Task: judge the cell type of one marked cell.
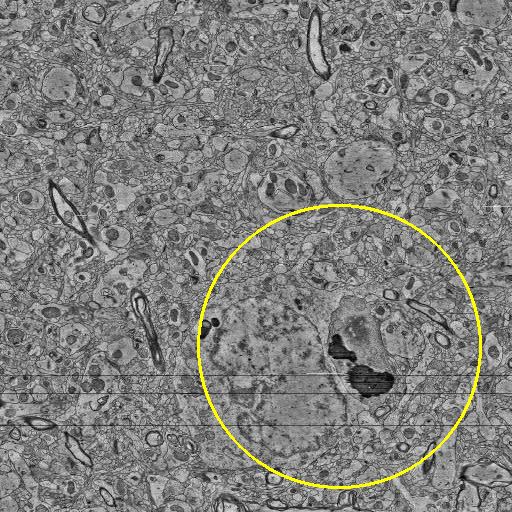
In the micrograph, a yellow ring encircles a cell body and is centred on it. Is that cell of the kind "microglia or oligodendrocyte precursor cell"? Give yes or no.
no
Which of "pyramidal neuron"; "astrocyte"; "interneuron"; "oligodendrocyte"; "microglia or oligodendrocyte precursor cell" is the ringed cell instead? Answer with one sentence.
What the ring is centred on is an oligodendrocyte.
